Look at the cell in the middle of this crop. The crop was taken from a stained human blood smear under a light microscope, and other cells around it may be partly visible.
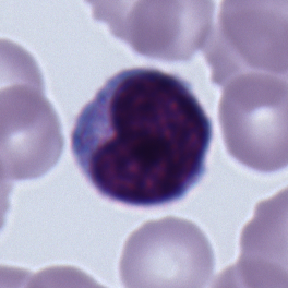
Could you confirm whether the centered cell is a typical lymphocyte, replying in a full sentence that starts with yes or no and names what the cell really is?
Yes, that is right: the middle cell is a typical lymphocyte.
